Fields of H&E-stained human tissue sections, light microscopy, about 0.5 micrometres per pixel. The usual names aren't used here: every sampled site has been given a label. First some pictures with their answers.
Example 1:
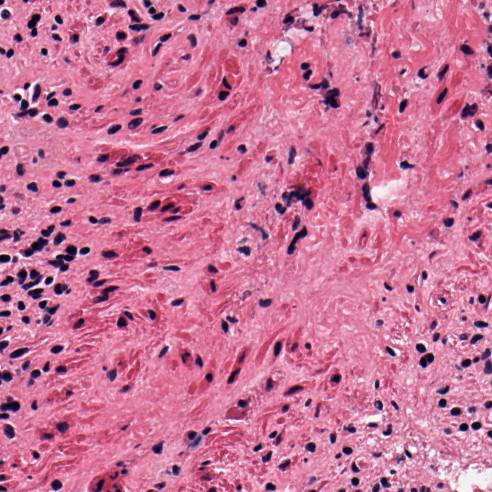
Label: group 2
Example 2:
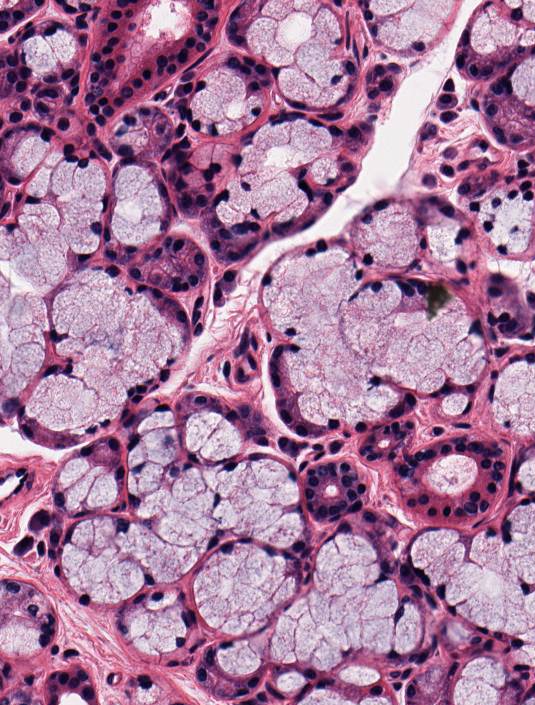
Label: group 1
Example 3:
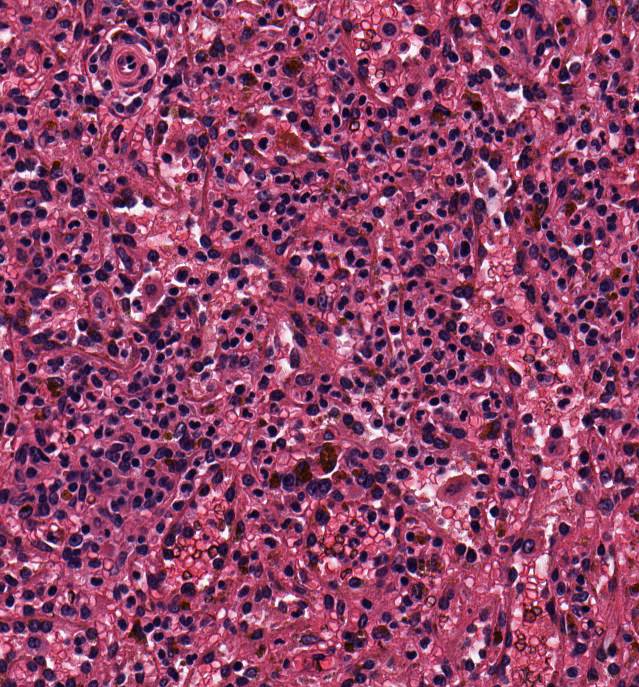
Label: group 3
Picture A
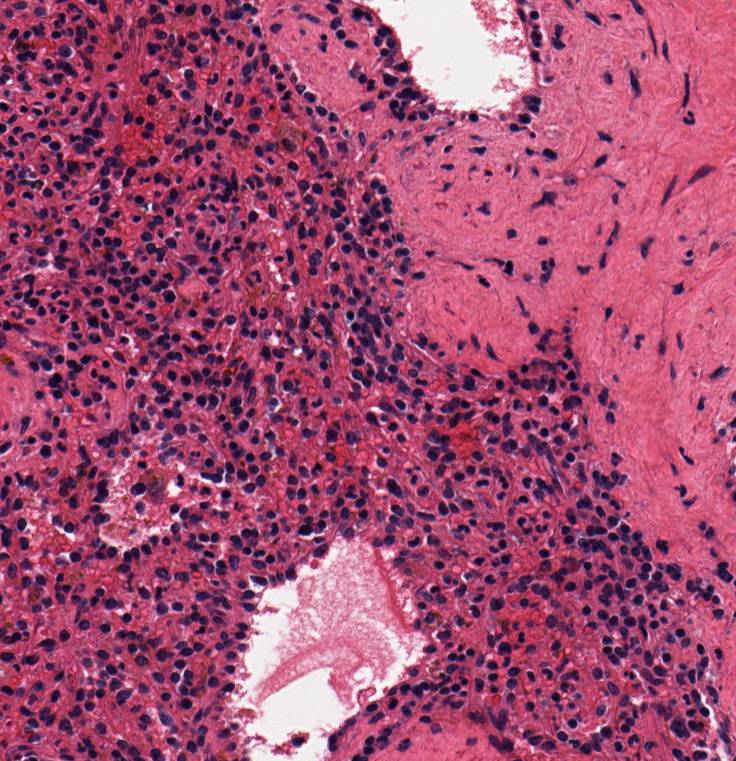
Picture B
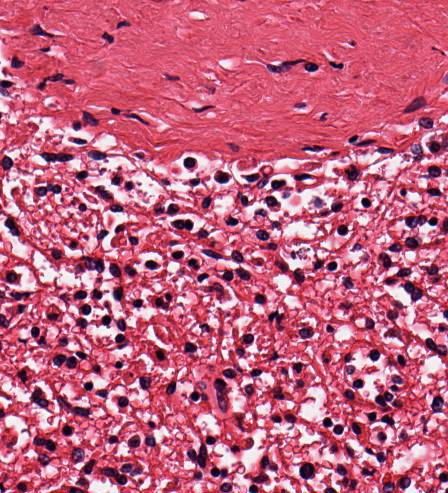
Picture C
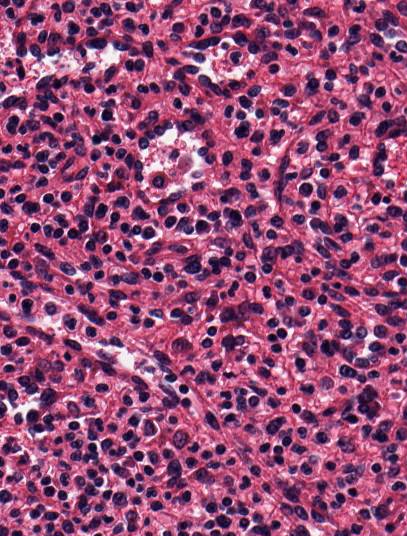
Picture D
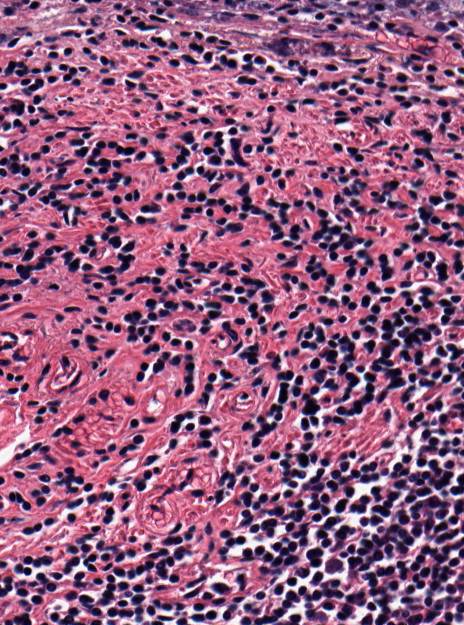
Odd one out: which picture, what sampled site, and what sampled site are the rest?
Picture D: group 2. All others: group 3.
